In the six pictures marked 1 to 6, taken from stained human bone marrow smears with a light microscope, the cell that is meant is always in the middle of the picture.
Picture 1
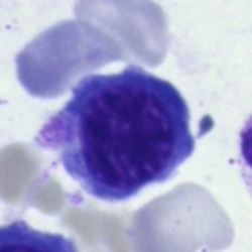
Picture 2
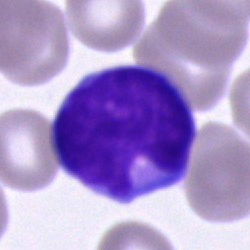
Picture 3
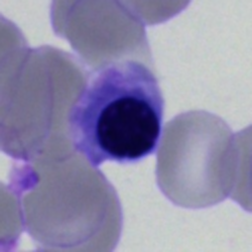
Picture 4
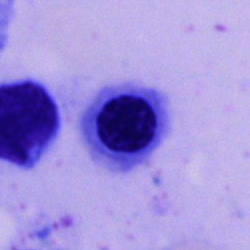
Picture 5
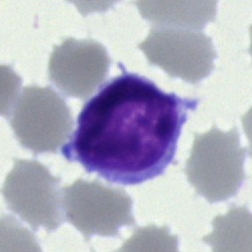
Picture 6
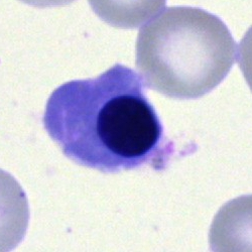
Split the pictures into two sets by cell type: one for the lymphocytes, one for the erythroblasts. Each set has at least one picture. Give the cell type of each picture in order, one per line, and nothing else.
erythroblast
lymphocyte
erythroblast
erythroblast
lymphocyte
erythroblast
